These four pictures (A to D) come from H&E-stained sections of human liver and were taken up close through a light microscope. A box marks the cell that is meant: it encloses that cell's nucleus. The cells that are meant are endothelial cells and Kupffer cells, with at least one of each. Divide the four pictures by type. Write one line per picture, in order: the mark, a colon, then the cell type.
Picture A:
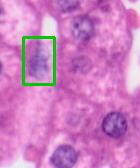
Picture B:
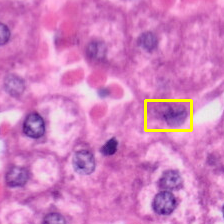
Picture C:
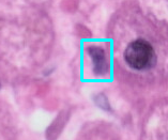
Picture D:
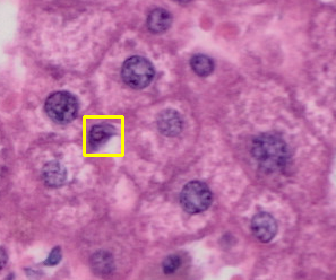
A: endothelial cell
B: Kupffer cell
C: endothelial cell
D: endothelial cell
